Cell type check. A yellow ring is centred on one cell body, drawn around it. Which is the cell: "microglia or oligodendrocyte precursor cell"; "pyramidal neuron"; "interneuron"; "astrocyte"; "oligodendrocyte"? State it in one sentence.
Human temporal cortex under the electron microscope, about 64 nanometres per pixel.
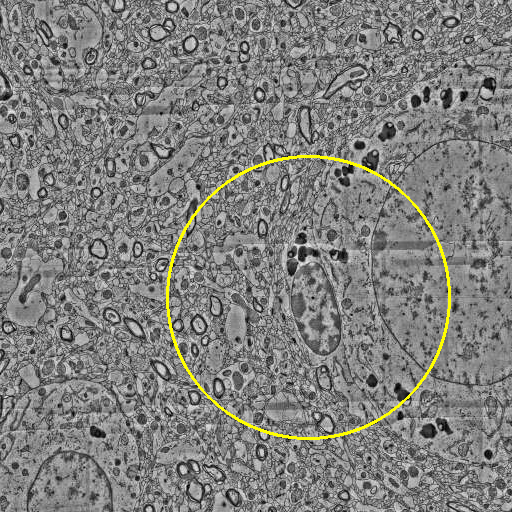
The cell body at the ring's centre belongs to a microglial cell or oligodendrocyte precursor cell.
